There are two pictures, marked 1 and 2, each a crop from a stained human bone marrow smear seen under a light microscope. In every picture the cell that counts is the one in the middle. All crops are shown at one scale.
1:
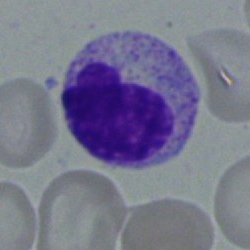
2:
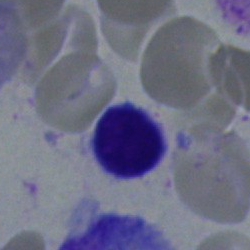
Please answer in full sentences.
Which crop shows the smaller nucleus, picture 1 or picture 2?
Smaller is the nucleus in picture 2, and the other is about 2 times as large in area.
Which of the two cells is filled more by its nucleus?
Of the two, the nucleus in picture 2 makes up the greater part of its cell.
